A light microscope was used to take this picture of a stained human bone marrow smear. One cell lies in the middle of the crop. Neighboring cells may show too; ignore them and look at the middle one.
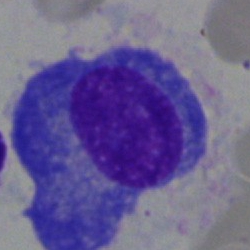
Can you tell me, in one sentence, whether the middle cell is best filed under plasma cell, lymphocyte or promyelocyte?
The middle cell in this particular crop is a plasma cell.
